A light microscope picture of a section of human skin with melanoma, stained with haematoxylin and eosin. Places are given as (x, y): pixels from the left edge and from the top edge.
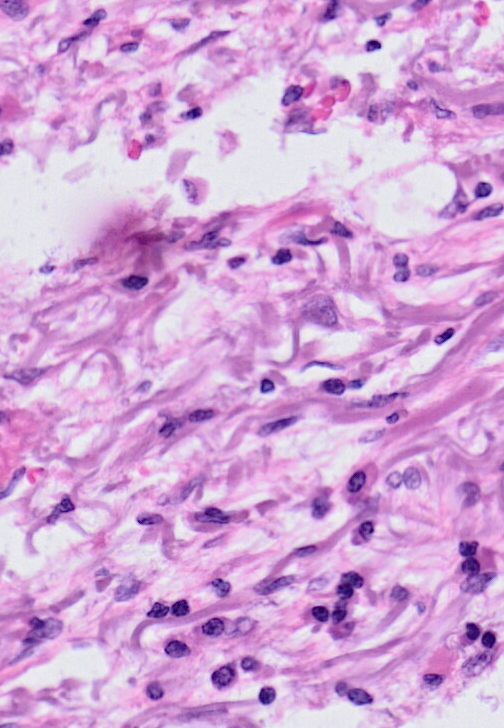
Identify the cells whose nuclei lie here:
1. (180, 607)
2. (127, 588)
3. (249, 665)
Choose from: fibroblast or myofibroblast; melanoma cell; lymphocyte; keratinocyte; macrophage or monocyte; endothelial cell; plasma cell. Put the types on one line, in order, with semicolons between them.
plasma cell; fibroblast or myofibroblast; plasma cell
